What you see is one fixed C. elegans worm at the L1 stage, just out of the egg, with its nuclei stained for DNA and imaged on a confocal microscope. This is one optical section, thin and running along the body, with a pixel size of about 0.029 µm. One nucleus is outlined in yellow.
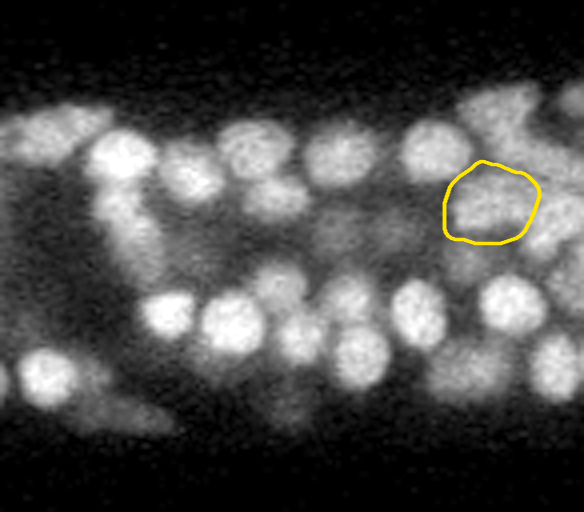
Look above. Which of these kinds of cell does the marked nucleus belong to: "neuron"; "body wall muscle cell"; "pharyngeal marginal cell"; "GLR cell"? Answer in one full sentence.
What is marked is the nucleus of a pharyngeal marginal cell.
